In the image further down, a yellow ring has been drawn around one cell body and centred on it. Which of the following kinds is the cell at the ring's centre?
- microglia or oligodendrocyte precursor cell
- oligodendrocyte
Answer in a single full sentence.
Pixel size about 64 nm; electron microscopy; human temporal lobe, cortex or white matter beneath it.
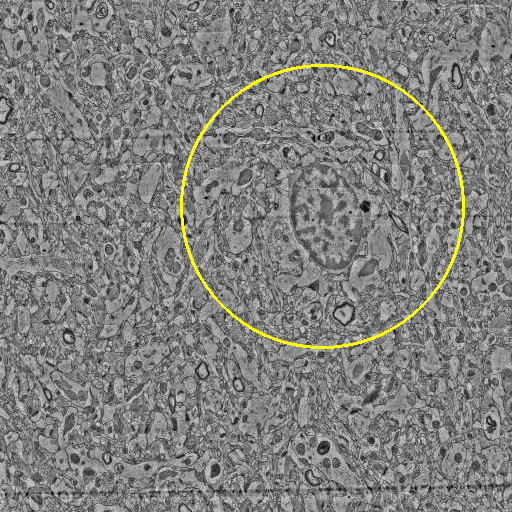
In the picture, the cell sitting at the centre of the yellow ring is an oligodendrocyte.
